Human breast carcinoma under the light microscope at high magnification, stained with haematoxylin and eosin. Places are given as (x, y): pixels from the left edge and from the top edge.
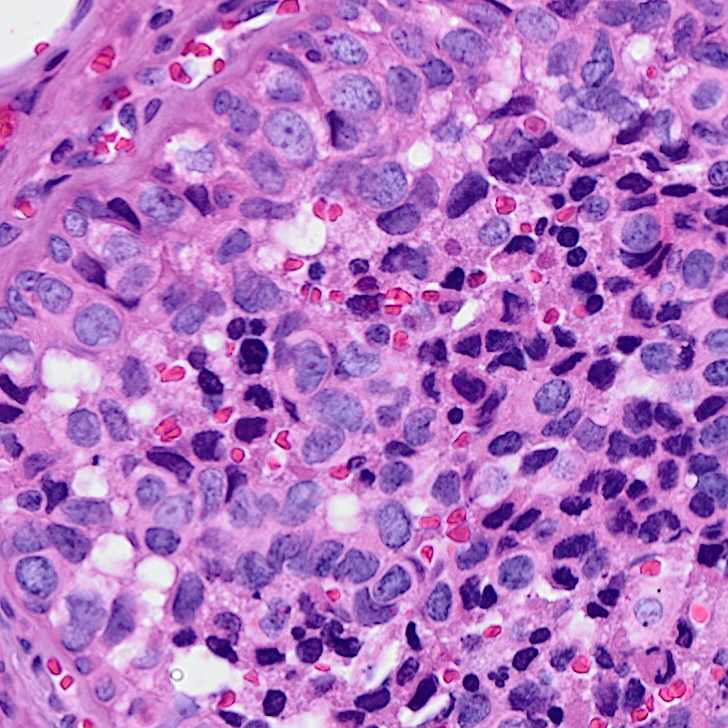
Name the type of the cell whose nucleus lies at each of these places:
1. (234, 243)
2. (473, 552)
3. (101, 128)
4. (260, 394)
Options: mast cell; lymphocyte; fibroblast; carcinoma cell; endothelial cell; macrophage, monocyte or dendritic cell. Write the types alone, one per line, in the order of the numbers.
carcinoma cell
carcinoma cell
endothelial cell
carcinoma cell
